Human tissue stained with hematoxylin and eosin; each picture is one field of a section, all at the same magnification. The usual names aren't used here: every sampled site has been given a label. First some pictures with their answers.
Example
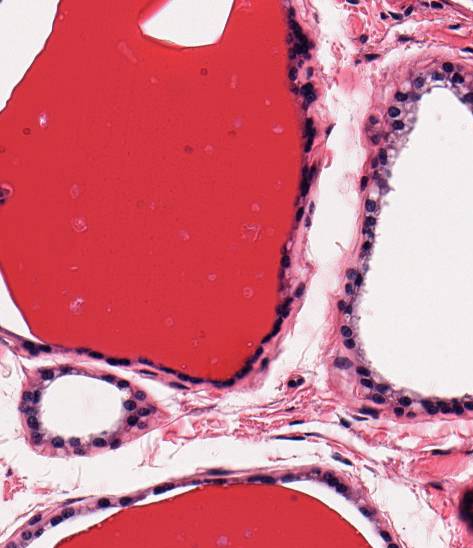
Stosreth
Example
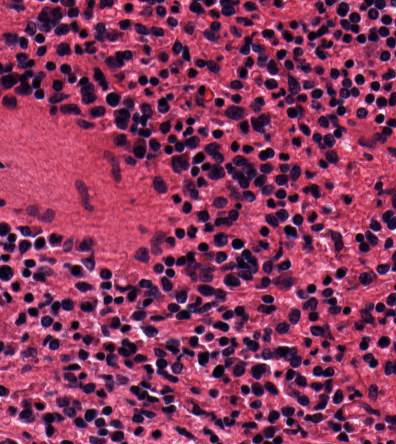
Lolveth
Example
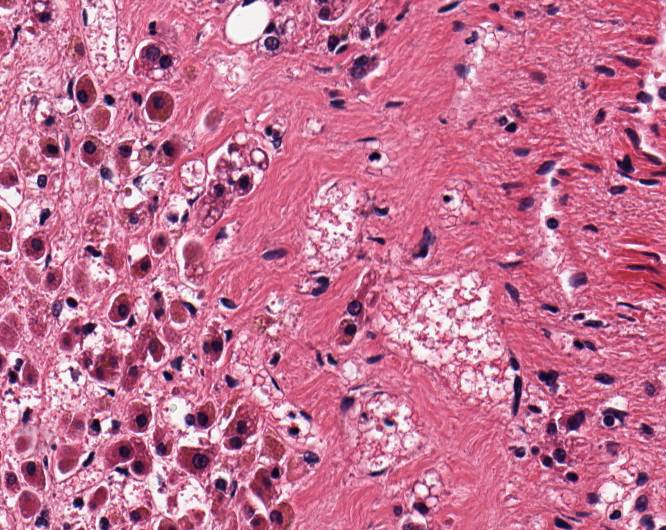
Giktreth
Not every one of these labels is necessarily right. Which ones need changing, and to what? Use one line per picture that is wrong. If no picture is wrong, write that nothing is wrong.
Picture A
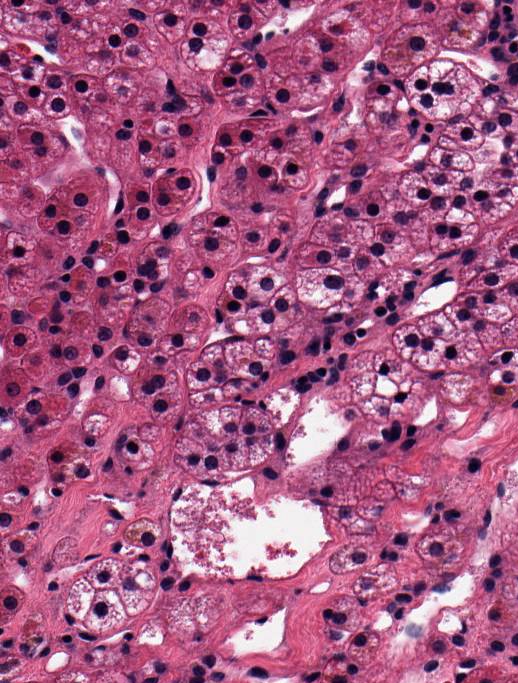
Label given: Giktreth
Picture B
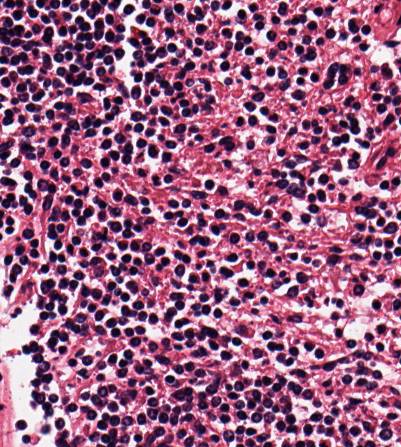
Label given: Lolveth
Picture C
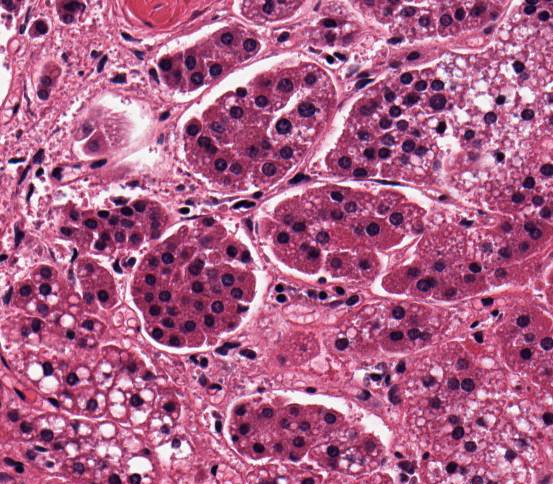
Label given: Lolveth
C is labelled Lolveth; correct label: Giktreth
